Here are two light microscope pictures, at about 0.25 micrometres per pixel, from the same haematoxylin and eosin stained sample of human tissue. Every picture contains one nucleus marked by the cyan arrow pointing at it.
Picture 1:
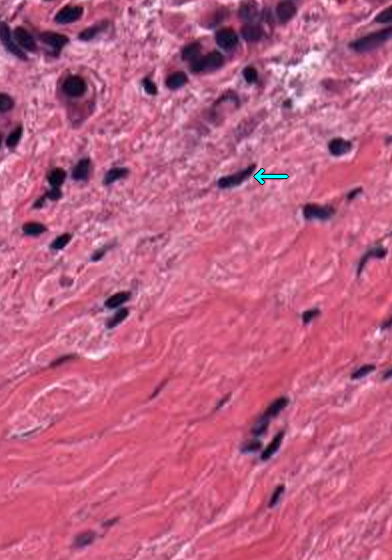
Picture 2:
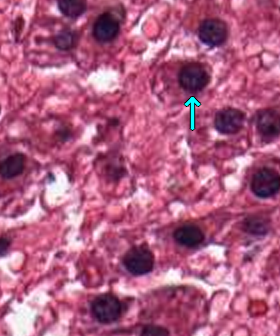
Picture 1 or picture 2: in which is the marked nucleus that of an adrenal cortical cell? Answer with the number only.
2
